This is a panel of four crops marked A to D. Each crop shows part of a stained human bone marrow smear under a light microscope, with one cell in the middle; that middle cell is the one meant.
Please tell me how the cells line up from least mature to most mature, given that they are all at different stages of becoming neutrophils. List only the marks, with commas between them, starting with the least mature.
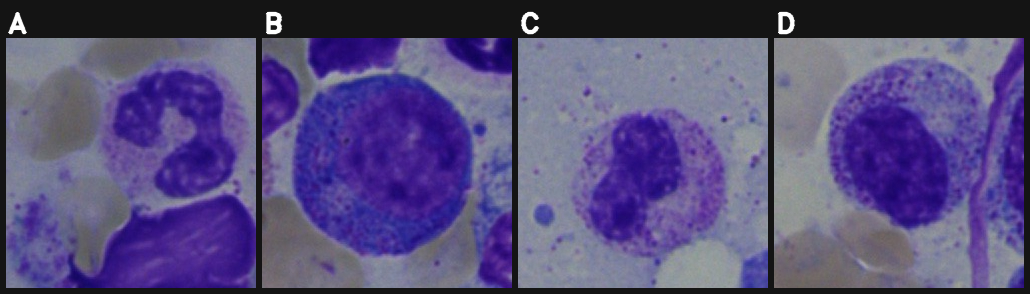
B, D, C, A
